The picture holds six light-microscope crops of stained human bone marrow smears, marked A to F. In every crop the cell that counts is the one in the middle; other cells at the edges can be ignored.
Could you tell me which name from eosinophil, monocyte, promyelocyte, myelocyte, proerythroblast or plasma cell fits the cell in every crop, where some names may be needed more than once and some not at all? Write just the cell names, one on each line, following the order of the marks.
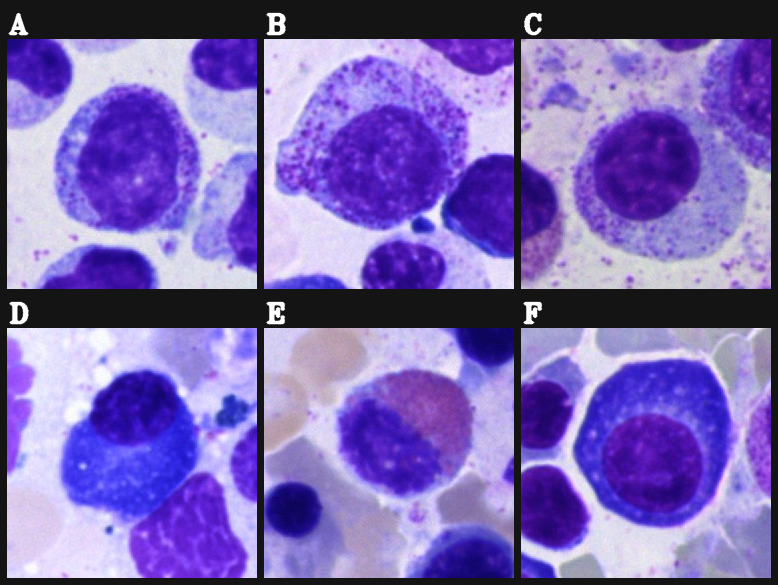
myelocyte
promyelocyte
myelocyte
plasma cell
eosinophil
plasma cell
